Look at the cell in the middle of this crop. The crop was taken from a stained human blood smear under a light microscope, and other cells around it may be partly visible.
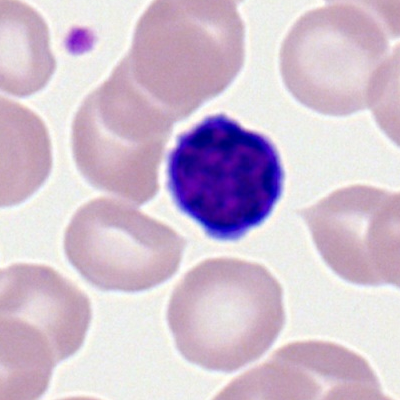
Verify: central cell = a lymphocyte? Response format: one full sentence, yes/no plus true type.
Yes, what sits in the centre of the crop is a lymphocyte.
